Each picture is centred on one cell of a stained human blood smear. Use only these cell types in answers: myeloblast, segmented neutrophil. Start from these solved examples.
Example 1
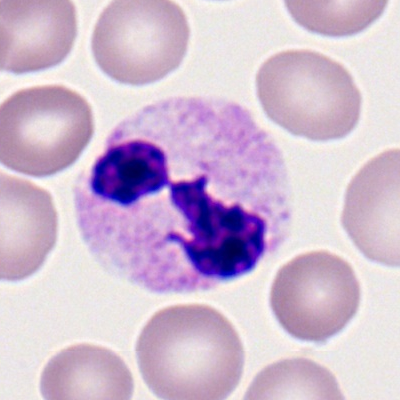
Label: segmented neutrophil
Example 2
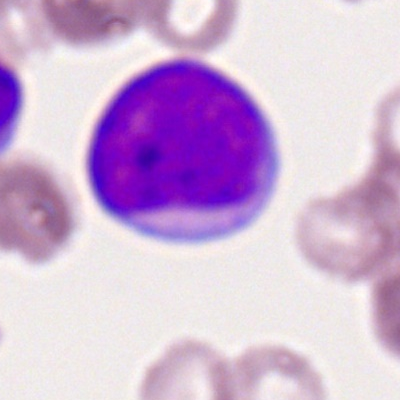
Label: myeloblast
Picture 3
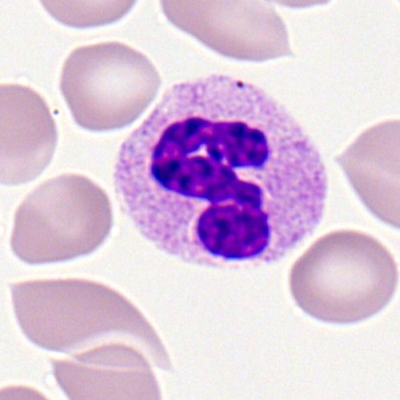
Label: segmented neutrophil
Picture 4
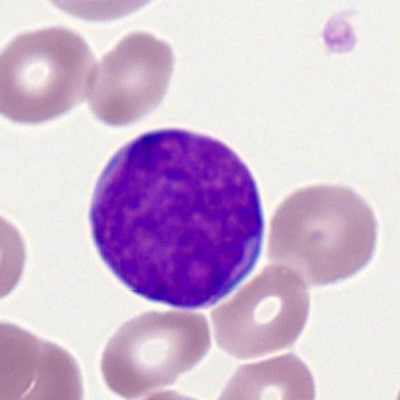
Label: myeloblast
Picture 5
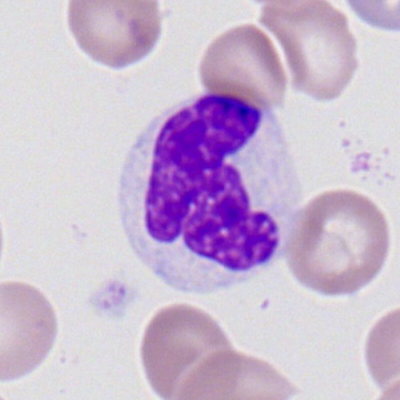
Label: segmented neutrophil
